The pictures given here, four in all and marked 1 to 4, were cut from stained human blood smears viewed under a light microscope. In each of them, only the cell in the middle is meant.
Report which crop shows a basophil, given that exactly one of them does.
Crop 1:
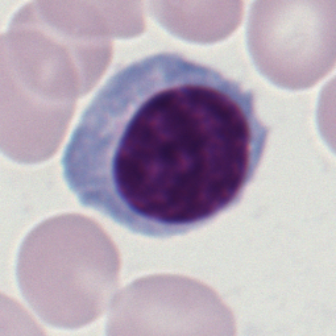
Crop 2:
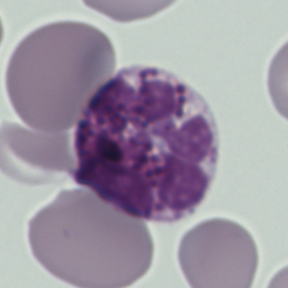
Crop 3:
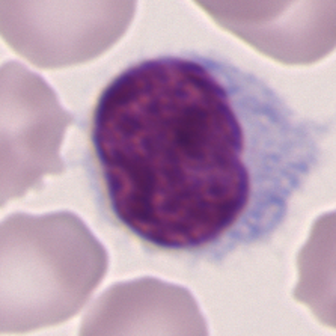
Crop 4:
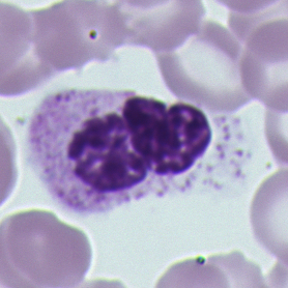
2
